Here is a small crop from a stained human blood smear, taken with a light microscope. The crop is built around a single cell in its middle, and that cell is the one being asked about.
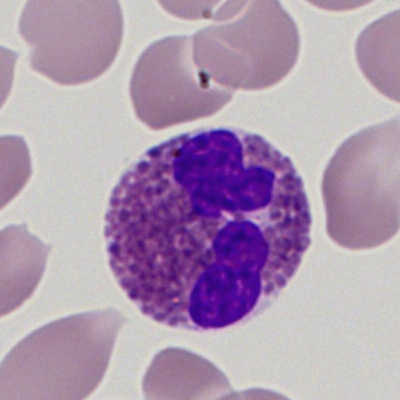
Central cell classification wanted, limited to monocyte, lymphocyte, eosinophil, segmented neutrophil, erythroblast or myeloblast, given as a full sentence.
Positioned in the middle of the crop is an eosinophil.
